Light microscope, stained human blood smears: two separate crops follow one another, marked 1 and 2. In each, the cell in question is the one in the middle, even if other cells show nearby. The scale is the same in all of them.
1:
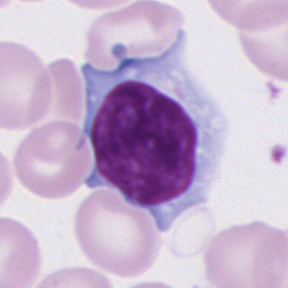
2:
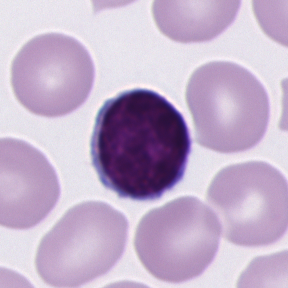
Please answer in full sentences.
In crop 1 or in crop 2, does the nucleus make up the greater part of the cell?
The nucleus fills more of the cell in crop 2 than in crop 1.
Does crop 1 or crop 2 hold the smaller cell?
Crop 2 holds the smaller cell, since the cell in crop 1 covers about 2 times as much area.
